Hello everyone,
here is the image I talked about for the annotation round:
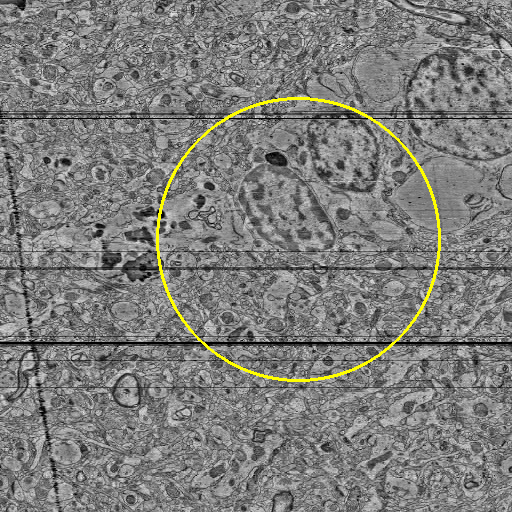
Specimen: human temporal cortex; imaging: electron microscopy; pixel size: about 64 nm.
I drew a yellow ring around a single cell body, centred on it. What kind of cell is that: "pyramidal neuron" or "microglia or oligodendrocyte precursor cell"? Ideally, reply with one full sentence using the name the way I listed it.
The cell your yellow ring is centred on is a microglial cell or oligodendrocyte precursor cell, going by your list.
